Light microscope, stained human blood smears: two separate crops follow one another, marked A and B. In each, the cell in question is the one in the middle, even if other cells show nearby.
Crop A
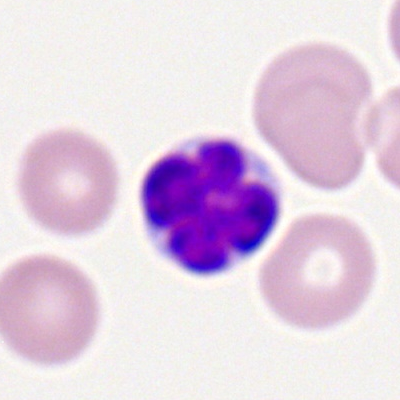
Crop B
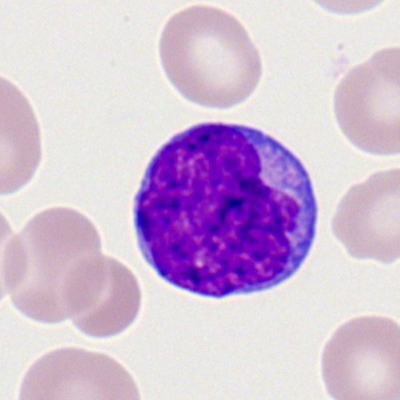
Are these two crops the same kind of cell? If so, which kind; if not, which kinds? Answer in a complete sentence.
Yes, both crops feature lymphocytes at the centre.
